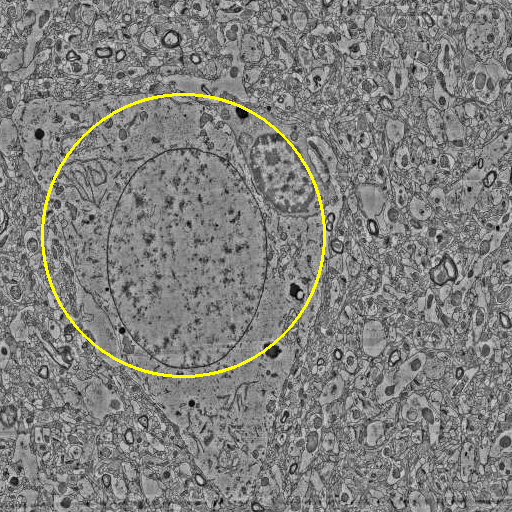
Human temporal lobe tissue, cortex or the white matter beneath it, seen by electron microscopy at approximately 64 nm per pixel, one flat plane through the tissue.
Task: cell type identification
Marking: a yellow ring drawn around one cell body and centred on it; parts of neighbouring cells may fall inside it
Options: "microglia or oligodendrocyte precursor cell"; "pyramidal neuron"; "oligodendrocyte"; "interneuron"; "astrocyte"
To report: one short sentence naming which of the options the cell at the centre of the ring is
The cell at the centre of the ring is a pyramidal neuron.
